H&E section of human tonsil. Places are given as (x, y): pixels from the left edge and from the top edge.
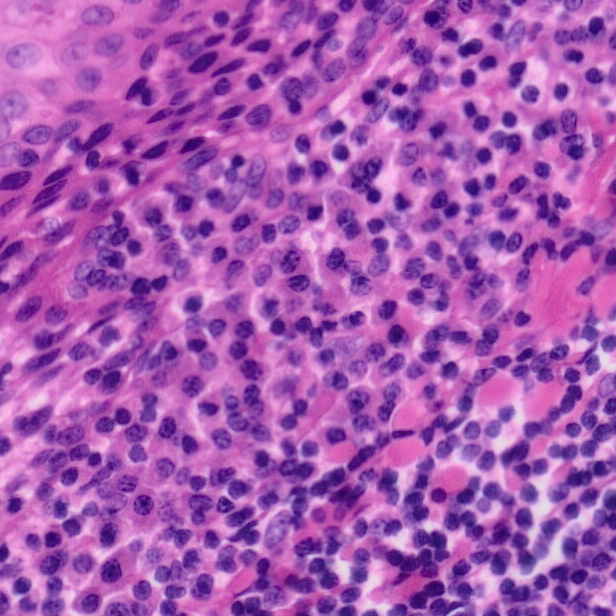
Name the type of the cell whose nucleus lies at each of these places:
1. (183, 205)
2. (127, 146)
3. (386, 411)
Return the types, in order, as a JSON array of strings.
["plasma cell", "squamous epithelial cell", "plasma cell"]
